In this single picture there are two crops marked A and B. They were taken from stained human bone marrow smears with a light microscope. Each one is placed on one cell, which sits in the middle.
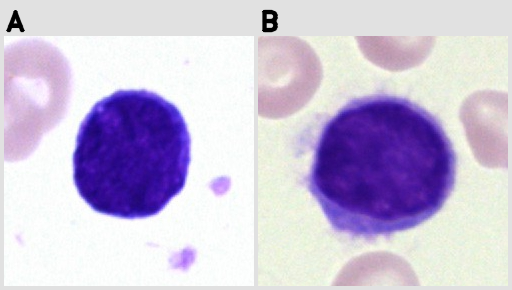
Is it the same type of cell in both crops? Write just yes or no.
no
